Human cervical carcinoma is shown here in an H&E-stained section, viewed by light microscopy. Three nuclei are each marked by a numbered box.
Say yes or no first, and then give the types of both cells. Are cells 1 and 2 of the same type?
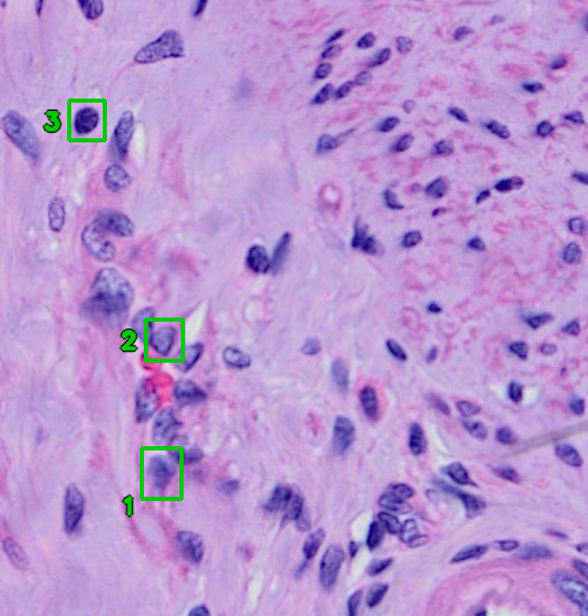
Yes, cells 1 and 2 are both identified as endothelial cells.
